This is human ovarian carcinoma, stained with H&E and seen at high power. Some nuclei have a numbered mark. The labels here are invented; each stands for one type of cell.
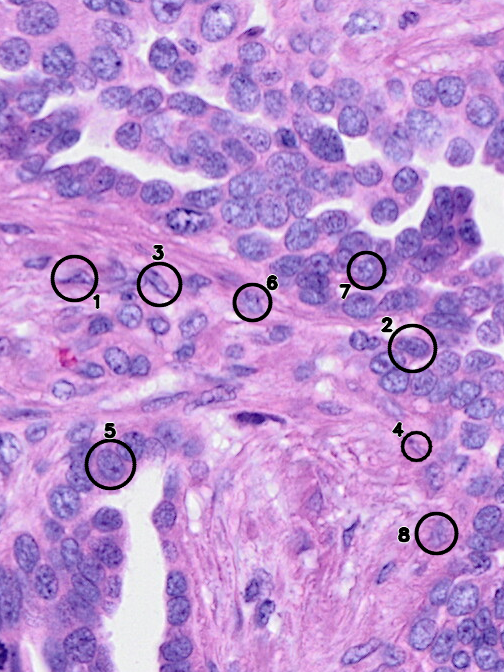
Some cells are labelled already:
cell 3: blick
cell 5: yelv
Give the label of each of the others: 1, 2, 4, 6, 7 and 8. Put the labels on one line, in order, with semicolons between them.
blick; yelv; blick; blick; yelv; blick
